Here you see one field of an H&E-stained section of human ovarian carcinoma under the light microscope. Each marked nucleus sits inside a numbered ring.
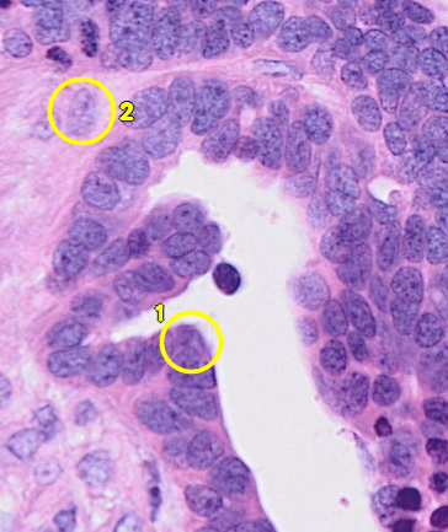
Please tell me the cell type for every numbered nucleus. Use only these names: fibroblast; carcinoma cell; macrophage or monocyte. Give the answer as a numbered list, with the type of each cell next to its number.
1. carcinoma cell
2. fibroblast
